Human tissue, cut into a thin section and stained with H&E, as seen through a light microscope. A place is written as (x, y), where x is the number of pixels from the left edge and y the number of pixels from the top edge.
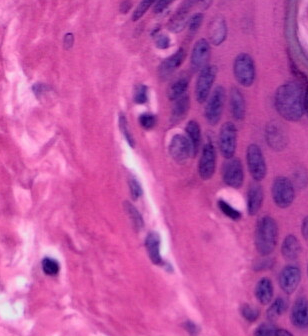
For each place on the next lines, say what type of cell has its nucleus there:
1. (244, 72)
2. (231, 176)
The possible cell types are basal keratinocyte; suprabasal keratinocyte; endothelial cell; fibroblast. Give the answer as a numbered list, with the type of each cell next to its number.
1. suprabasal keratinocyte
2. basal keratinocyte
